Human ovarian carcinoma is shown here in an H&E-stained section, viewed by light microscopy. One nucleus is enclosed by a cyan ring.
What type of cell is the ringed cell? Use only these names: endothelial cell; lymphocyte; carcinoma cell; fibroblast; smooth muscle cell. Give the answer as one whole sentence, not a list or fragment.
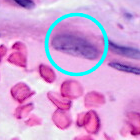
The cell type of the ringed cell is that of an endothelial cell.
